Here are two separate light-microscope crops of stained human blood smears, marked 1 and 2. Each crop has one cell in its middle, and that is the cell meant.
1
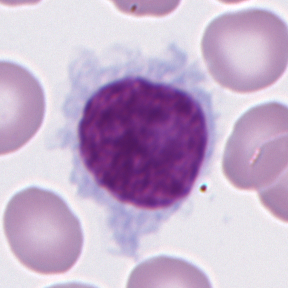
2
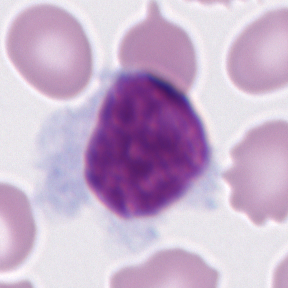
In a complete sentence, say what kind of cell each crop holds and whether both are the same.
Yes, both crops have hairy cells at the centre.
